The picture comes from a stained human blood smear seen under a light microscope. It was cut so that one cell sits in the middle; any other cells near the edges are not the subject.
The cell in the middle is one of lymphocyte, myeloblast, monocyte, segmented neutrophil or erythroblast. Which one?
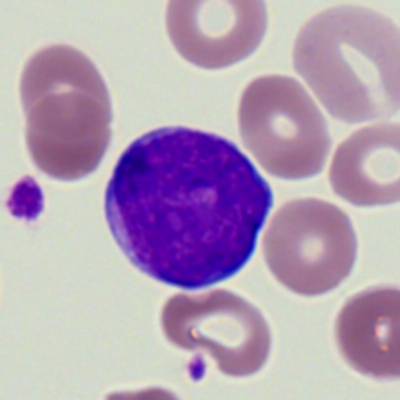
myeloblast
